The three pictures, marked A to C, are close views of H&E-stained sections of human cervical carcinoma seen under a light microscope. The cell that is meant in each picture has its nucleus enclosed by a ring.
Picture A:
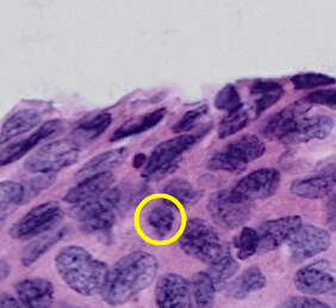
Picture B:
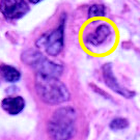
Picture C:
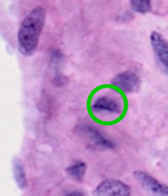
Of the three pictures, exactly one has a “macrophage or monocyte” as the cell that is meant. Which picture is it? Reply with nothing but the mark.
B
